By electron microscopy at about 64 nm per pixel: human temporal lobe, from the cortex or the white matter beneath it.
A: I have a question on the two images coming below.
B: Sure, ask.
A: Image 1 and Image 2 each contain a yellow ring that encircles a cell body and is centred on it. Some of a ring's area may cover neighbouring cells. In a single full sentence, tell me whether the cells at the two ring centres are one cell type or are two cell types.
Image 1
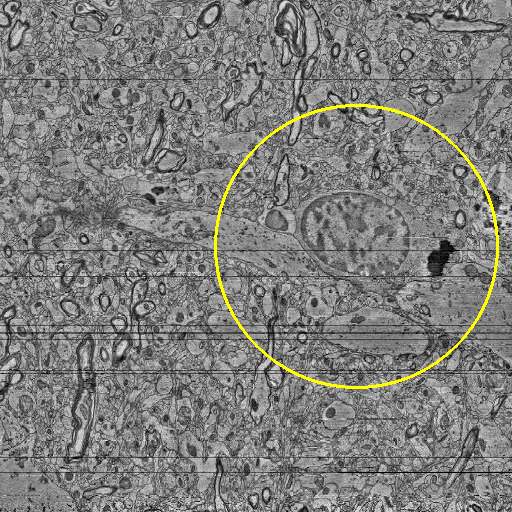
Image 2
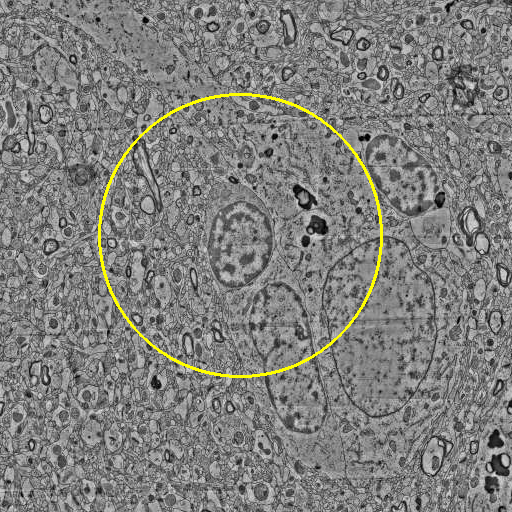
As for the ring-centre cells, the one in Image 1 and the one in Image 2 are one cell type.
